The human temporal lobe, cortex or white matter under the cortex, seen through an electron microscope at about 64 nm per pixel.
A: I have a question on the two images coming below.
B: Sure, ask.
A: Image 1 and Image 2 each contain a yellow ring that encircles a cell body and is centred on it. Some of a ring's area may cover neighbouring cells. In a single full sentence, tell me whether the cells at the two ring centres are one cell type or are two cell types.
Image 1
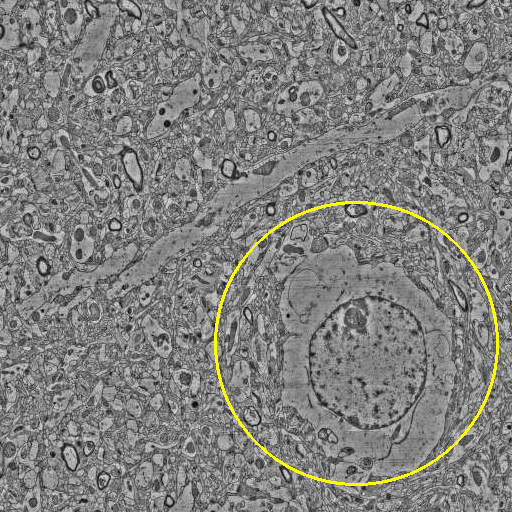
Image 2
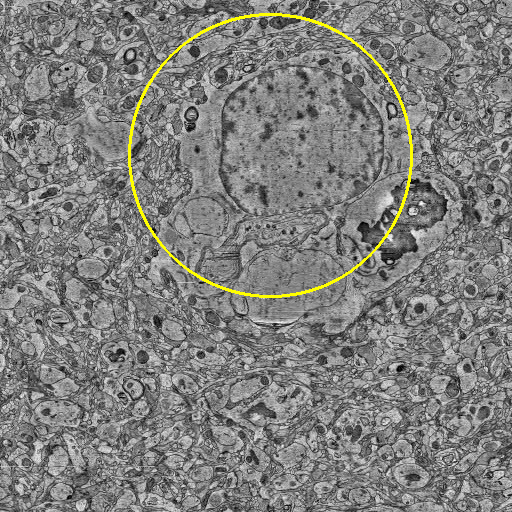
As for the ring-centre cells, the one in Image 1 and the one in Image 2 are one cell type.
